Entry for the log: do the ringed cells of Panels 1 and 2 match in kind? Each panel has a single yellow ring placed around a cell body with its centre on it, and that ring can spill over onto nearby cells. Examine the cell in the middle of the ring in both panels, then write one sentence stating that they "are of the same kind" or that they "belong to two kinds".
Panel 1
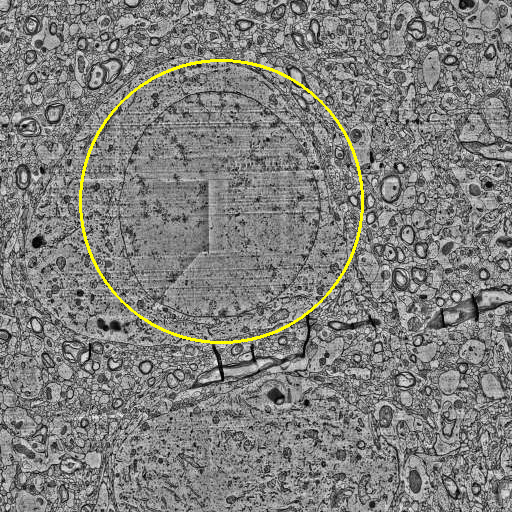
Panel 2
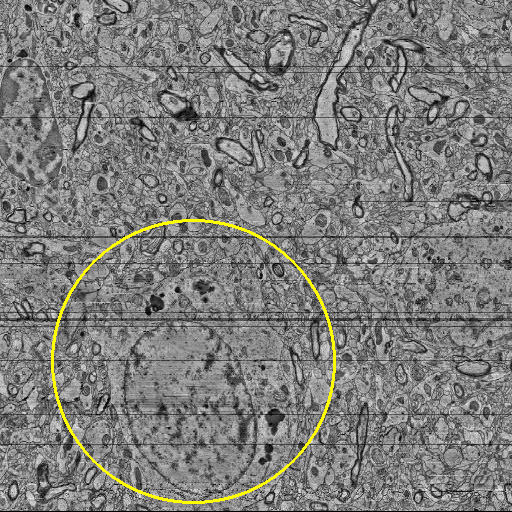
The centre cell of Panel 1's ring and that of Panel 2's ring belong to two kinds.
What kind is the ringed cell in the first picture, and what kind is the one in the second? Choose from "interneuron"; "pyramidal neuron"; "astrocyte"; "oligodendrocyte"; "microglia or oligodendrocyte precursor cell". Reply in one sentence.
The first cell is a pyramidal neuron; the second is an interneuron.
